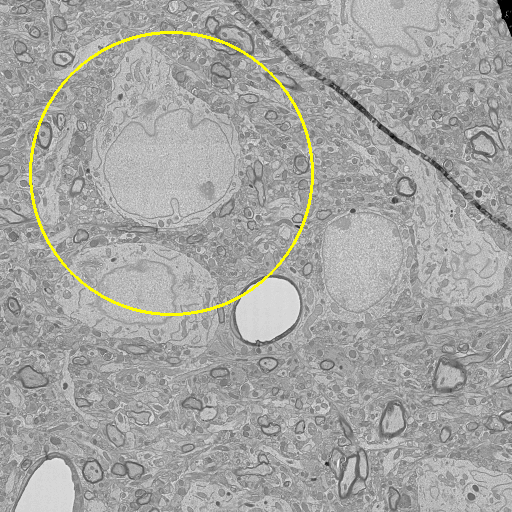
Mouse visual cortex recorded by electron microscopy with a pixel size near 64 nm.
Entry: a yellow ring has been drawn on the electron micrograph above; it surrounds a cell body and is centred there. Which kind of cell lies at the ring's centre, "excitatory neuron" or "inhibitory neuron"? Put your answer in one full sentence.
The cell sitting at the ring's centre is an excitatory neuron in the micrograph above.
